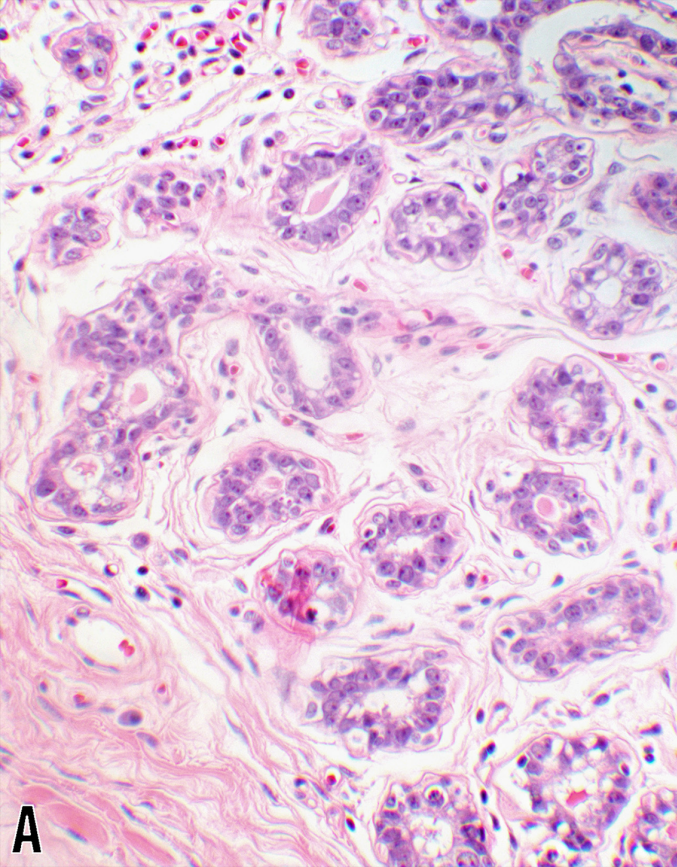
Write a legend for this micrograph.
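Normal breast tissue with many small ductal structures set in adjacent interstitial tissue. The ducts are separated by loose, pale pink connective tissue with scattered spindle-shaped stromal cells and small vessels containing red blood cells. Toward the lower left the stroma becomes denser, with wavy bands of pink collagen around a small vessel.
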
